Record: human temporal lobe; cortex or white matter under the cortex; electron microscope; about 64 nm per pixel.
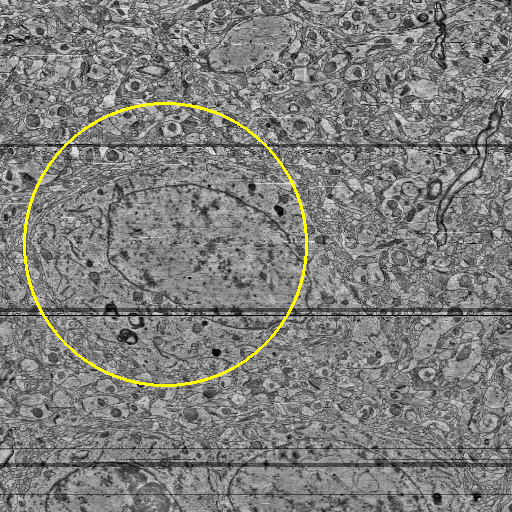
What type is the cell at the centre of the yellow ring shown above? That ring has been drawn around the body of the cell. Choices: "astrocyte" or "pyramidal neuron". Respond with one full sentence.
My answer is that a pyramidal neuron lies at the centre of the yellow ring above.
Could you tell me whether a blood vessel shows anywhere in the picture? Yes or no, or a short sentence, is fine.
No, the picture includes no blood vessel.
